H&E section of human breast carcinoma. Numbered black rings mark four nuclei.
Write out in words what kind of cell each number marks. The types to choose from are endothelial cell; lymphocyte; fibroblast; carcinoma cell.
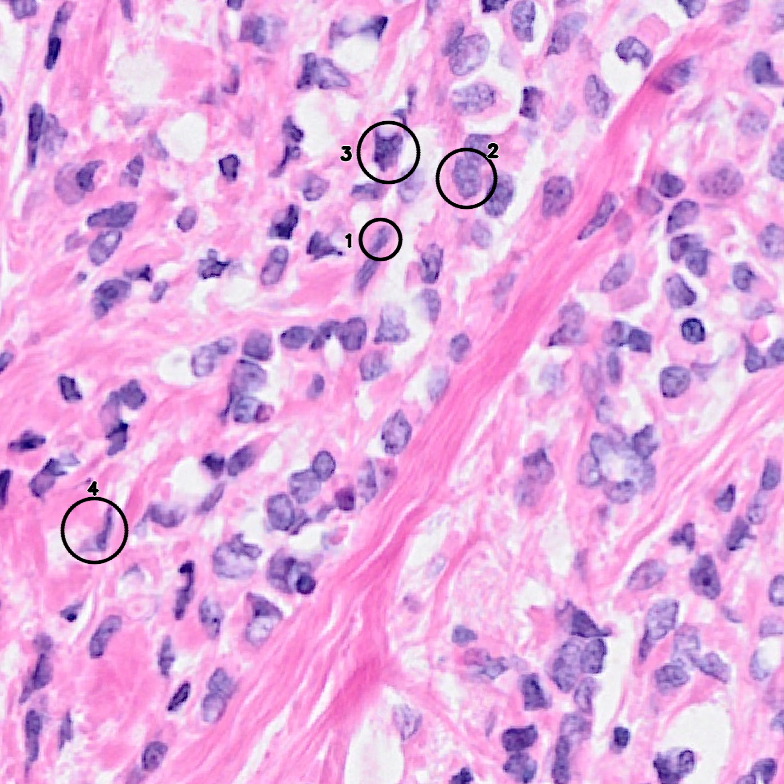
Cell 1 is an endothelial cell, cell 2 is a carcinoma cell, cell 3 is a carcinoma cell and cell 4 is a fibroblast.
